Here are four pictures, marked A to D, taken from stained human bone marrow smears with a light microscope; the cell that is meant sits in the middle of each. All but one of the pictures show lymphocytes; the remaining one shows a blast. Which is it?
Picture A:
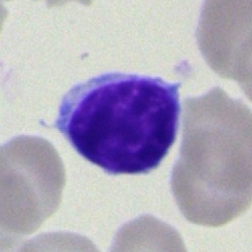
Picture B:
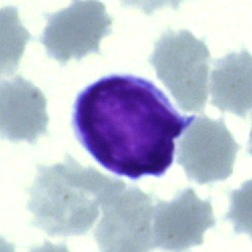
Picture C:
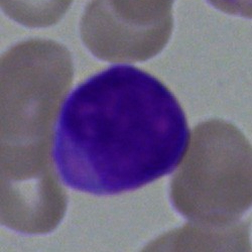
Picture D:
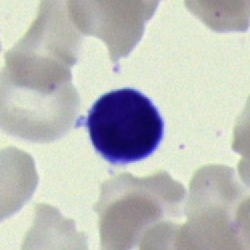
C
